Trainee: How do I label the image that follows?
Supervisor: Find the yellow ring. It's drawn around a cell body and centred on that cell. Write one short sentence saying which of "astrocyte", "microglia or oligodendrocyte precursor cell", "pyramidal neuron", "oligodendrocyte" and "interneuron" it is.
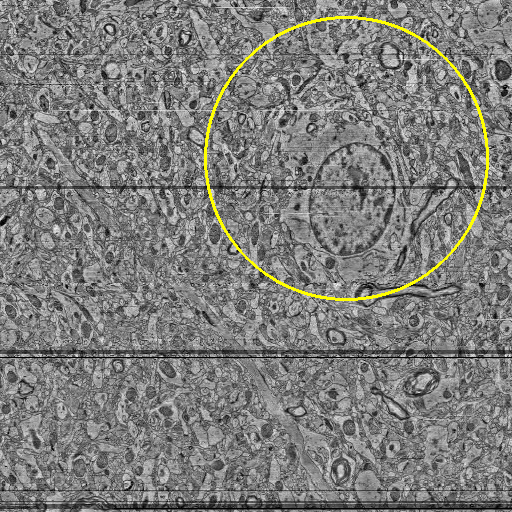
This is the cell body of an astrocyte.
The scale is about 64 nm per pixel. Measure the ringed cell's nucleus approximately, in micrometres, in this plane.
In this plane, the nucleus of the cell at the centre of the ring measures about 8 by 5 micrometres.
